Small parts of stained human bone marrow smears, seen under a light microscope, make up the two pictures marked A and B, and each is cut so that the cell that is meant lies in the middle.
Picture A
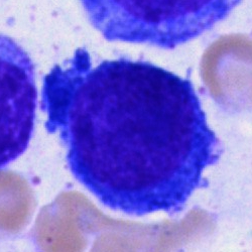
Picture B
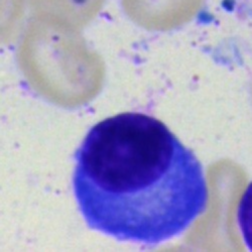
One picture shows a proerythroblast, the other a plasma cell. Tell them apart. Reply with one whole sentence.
The cell in picture A is a proerythroblast, and the one in picture B is a plasma cell.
